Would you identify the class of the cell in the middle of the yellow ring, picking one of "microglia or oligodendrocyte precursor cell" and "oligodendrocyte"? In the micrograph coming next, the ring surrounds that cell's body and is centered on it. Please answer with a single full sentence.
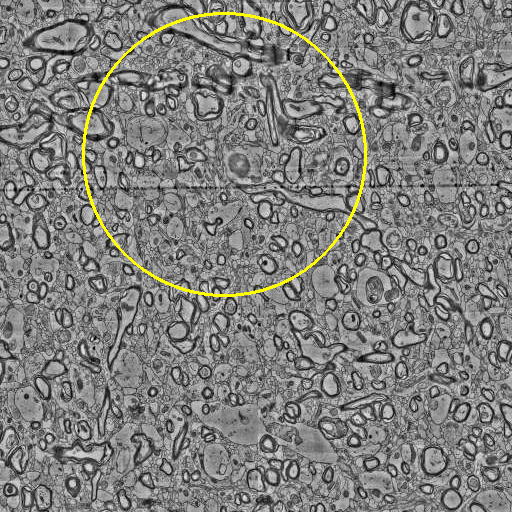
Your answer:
In the micrograph, it is a microglial cell or oligodendrocyte precursor cell whose body lies at the ring's center.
